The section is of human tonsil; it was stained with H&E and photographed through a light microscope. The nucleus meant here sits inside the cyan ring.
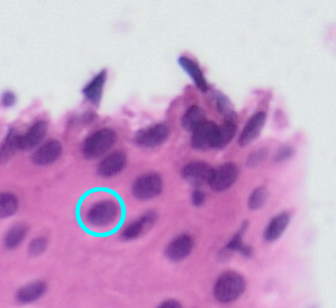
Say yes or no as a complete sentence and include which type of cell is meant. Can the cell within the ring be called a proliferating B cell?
No, the cell within the ring is a squamous epithelial cell; calling it a proliferating B cell would be wrong.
